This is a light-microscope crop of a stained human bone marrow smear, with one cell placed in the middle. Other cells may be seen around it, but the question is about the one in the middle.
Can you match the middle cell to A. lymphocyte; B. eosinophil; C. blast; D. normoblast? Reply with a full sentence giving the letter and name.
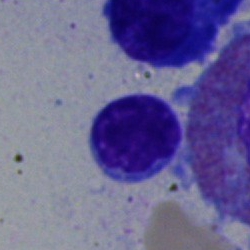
Option A is the keyed answer: the cell in the middle is a lymphocyte.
